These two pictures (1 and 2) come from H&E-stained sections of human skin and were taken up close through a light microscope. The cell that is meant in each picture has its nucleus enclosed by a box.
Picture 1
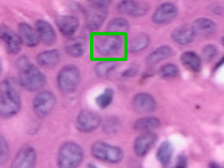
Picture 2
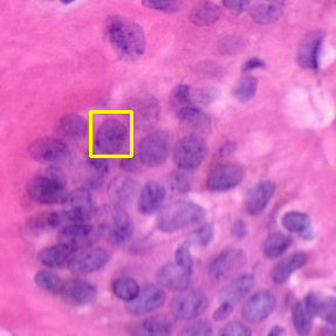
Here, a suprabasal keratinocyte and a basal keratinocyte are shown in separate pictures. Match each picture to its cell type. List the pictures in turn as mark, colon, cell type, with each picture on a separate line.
1: suprabasal keratinocyte
2: basal keratinocyte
